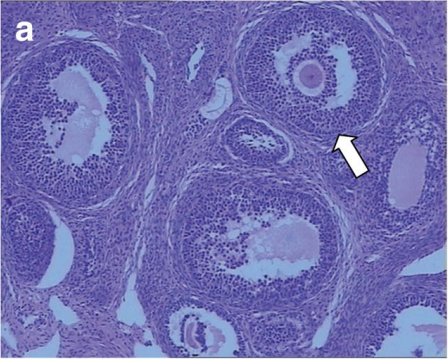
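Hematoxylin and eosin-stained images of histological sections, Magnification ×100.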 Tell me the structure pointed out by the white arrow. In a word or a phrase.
Follicles.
